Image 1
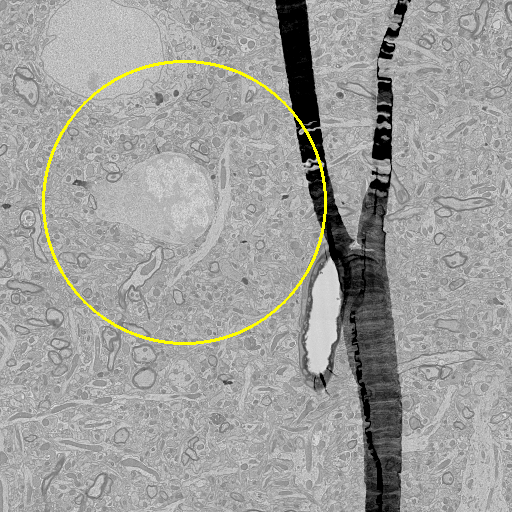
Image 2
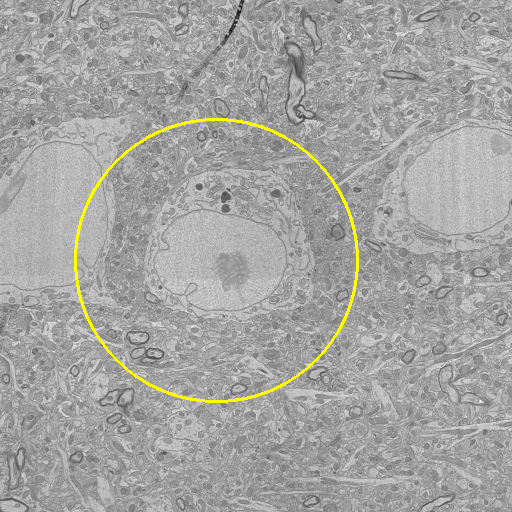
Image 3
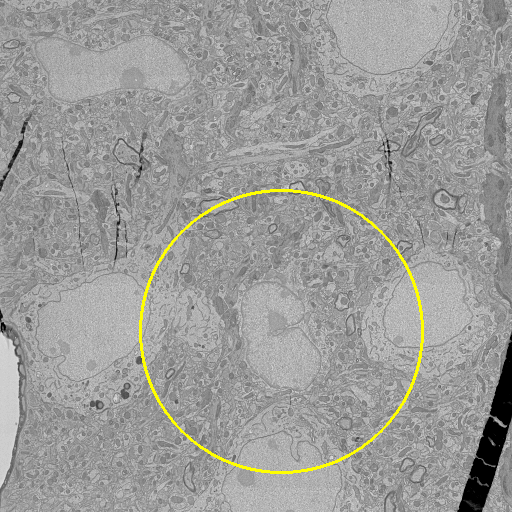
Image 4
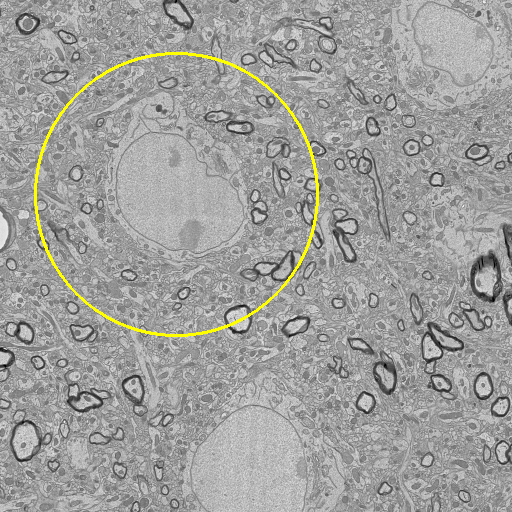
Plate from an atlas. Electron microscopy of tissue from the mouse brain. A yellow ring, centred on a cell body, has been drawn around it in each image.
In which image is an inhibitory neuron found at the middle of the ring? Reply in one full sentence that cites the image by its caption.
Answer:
The requested cell is the one at the ring's centre in Image 2.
